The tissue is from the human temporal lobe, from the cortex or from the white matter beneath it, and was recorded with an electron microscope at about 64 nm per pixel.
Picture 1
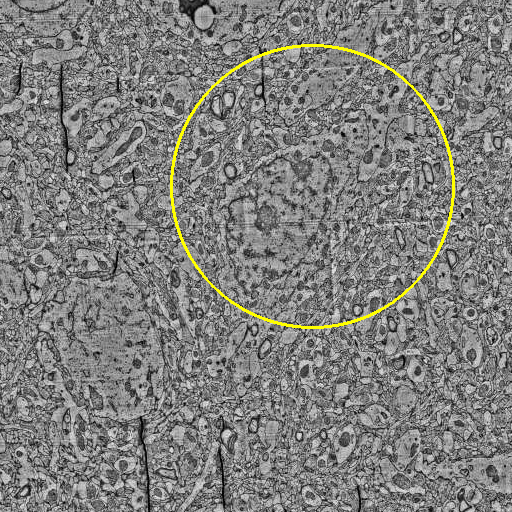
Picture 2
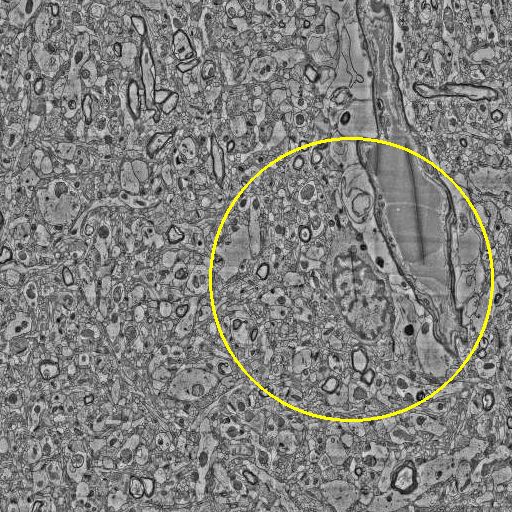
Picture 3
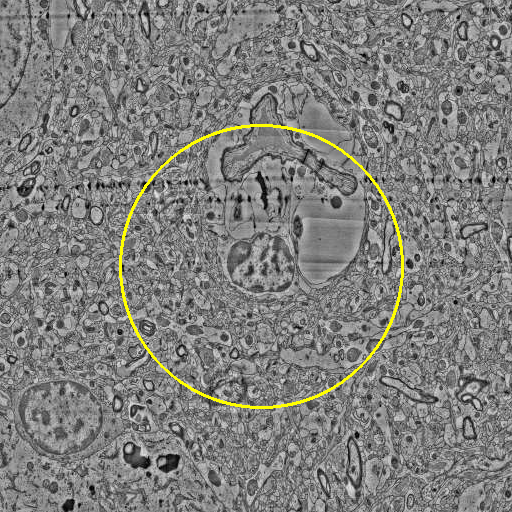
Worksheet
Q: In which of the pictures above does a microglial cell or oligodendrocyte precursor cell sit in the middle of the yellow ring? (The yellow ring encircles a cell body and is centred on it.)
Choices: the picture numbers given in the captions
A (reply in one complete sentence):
In picture 3, the cell sitting at the centre of the ring is the match.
